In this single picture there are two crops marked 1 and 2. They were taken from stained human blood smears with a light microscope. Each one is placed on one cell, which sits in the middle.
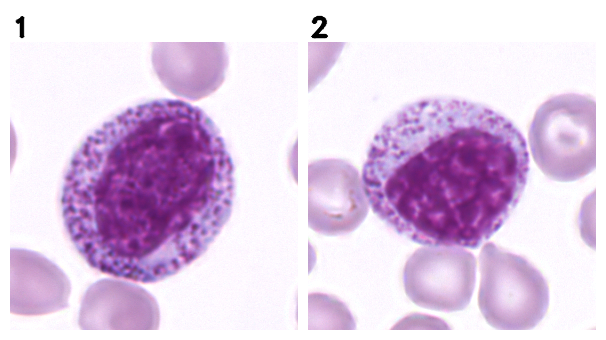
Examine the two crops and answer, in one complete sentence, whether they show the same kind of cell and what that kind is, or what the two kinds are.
No, crop 1 gives us a myelocyte and crop 2 gives us a metamyelocyte.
